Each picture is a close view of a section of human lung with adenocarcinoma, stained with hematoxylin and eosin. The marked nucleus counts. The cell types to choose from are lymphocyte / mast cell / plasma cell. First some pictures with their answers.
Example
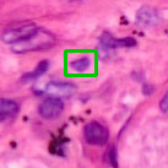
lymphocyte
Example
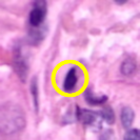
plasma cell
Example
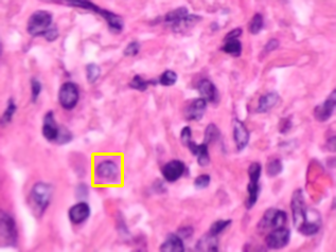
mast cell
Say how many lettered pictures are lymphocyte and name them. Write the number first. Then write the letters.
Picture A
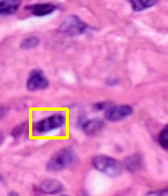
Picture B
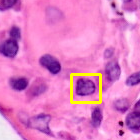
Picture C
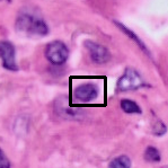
1, namely C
